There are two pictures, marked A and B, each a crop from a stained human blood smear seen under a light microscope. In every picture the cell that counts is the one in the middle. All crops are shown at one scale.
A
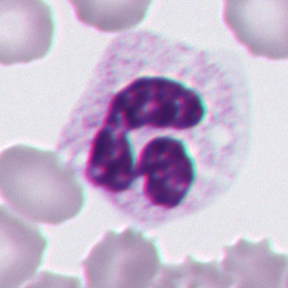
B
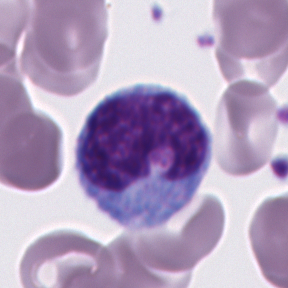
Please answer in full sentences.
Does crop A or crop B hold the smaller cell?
It is the cell in crop B; the cell in crop A has about 1.5 times its area.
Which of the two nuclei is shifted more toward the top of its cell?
It is the nucleus in crop B that lies further toward the top of its cell.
